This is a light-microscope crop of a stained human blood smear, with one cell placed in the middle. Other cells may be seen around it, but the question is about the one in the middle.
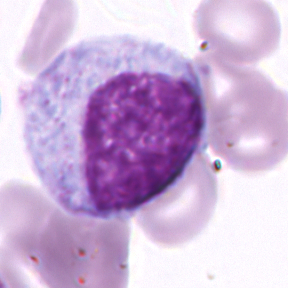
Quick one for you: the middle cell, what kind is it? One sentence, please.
The middle position in this crop is taken by a myelocyte.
